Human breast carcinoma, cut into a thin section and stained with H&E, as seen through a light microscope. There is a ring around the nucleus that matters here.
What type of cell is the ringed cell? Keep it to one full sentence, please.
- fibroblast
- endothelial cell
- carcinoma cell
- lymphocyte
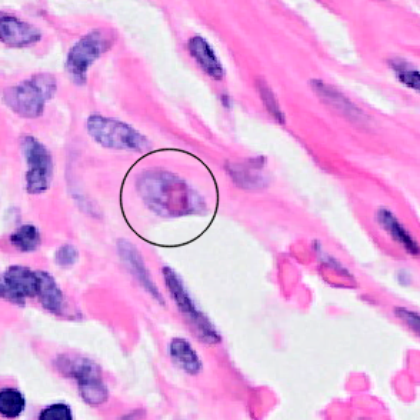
For cell typing purposes, the ringed cell is an endothelial cell.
